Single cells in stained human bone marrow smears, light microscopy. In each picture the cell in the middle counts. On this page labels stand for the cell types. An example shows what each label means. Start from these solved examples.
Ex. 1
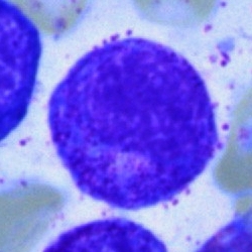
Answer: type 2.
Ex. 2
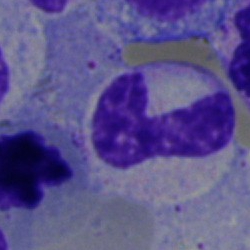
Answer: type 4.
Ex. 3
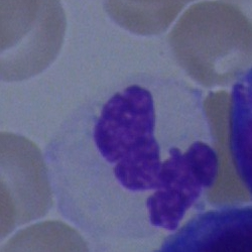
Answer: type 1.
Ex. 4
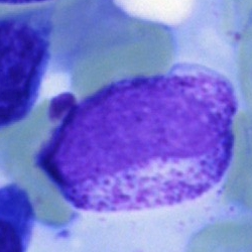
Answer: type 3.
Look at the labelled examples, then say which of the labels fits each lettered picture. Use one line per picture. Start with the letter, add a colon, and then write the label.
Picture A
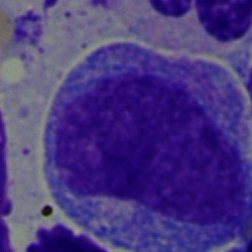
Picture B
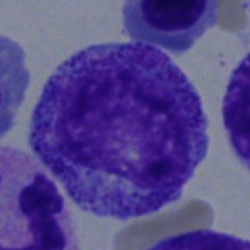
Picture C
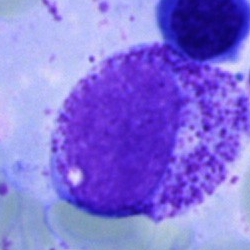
A: type 2.
B: type 2.
C: type 3.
